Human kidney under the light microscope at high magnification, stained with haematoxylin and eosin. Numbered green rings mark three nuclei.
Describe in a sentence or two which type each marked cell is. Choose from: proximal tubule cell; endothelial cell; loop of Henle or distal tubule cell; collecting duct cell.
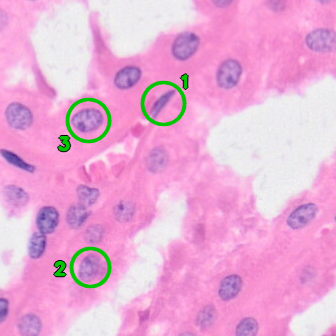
Cell 1 is an endothelial cell, cell 2 is a proximal tubule cell and cell 3 is a proximal tubule cell.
